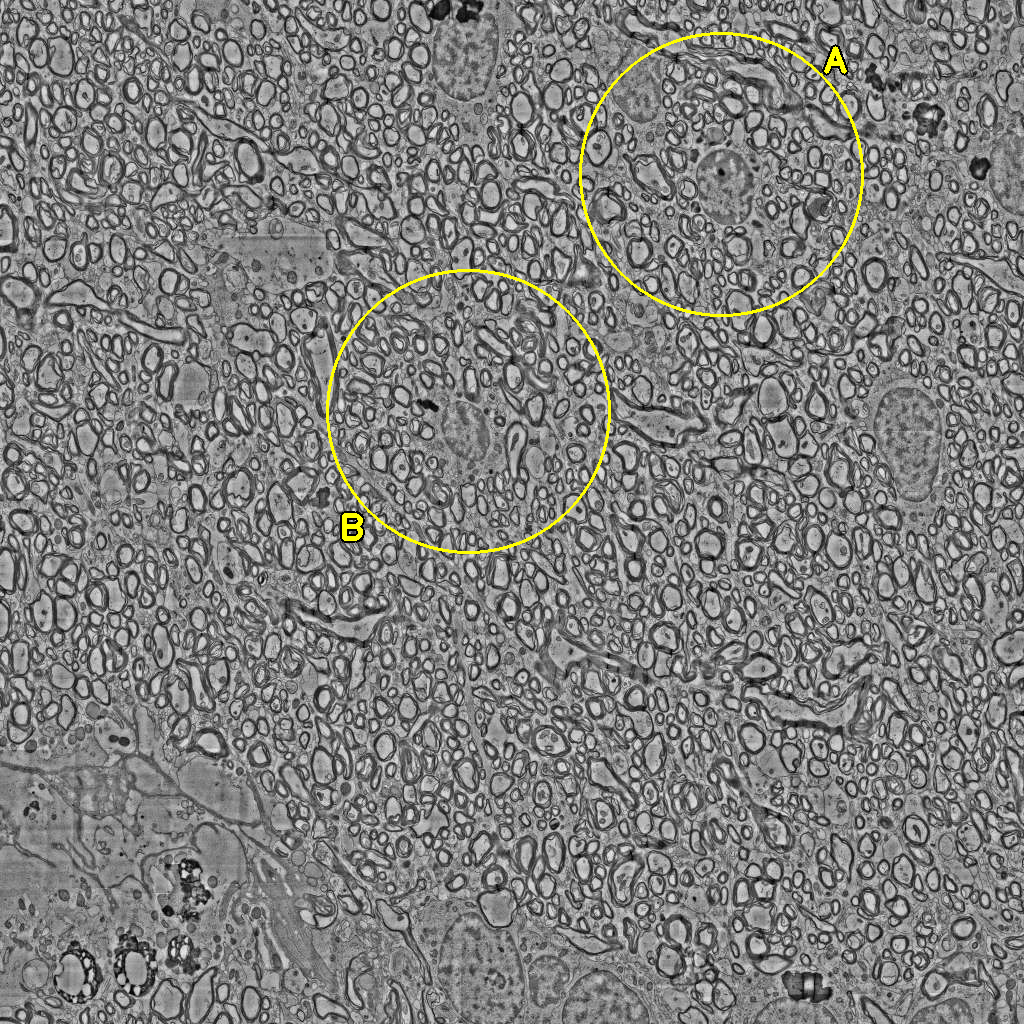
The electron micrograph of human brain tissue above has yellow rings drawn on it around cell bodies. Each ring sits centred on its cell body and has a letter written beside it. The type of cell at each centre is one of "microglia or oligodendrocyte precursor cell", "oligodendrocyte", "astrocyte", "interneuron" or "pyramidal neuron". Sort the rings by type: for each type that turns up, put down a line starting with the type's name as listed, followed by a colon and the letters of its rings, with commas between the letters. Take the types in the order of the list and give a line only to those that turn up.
microglia or oligodendrocyte precursor cell: A
oligodendrocyte: B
